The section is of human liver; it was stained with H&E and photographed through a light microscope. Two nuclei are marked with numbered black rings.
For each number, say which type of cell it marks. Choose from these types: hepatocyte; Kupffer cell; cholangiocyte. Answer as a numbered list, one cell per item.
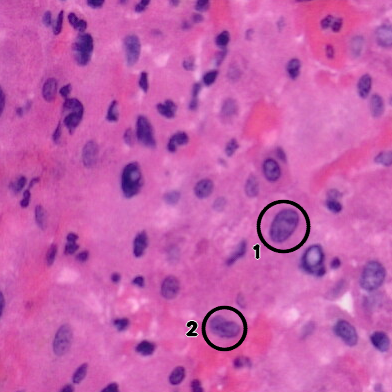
1. hepatocyte
2. Kupffer cell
